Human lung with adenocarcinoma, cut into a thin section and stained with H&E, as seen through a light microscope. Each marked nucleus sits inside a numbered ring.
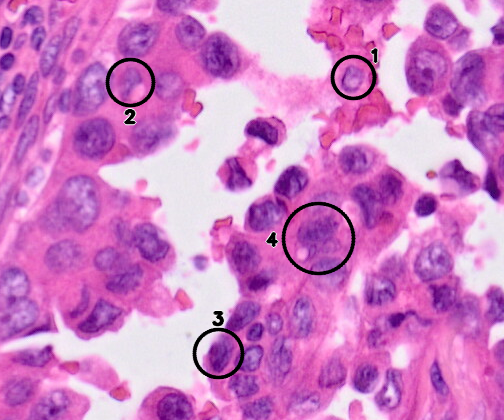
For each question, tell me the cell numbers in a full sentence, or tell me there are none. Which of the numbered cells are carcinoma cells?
In terms of cell type, cells 2, 3 and 4 are carcinoma cells.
